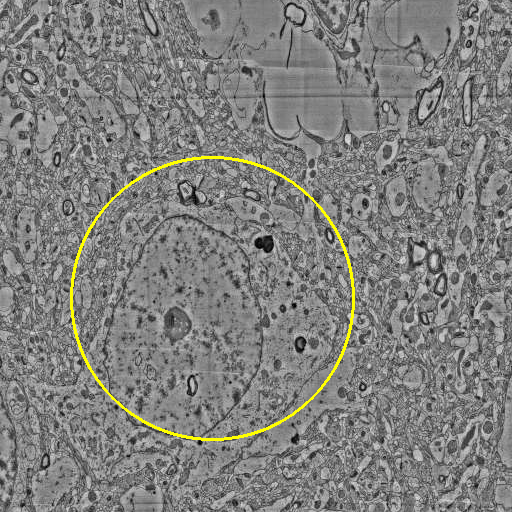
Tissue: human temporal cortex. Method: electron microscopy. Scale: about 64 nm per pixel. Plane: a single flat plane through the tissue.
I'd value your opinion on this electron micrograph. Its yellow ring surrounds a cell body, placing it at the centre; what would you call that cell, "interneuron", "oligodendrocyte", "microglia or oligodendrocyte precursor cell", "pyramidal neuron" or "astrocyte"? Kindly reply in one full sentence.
It is a pyramidal neuron that sits centred within the yellow ring in this micrograph.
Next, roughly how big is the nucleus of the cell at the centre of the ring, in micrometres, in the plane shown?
The ringed cell's nucleus is about 14 micrometres long and 11 micrometres wide in this plane.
